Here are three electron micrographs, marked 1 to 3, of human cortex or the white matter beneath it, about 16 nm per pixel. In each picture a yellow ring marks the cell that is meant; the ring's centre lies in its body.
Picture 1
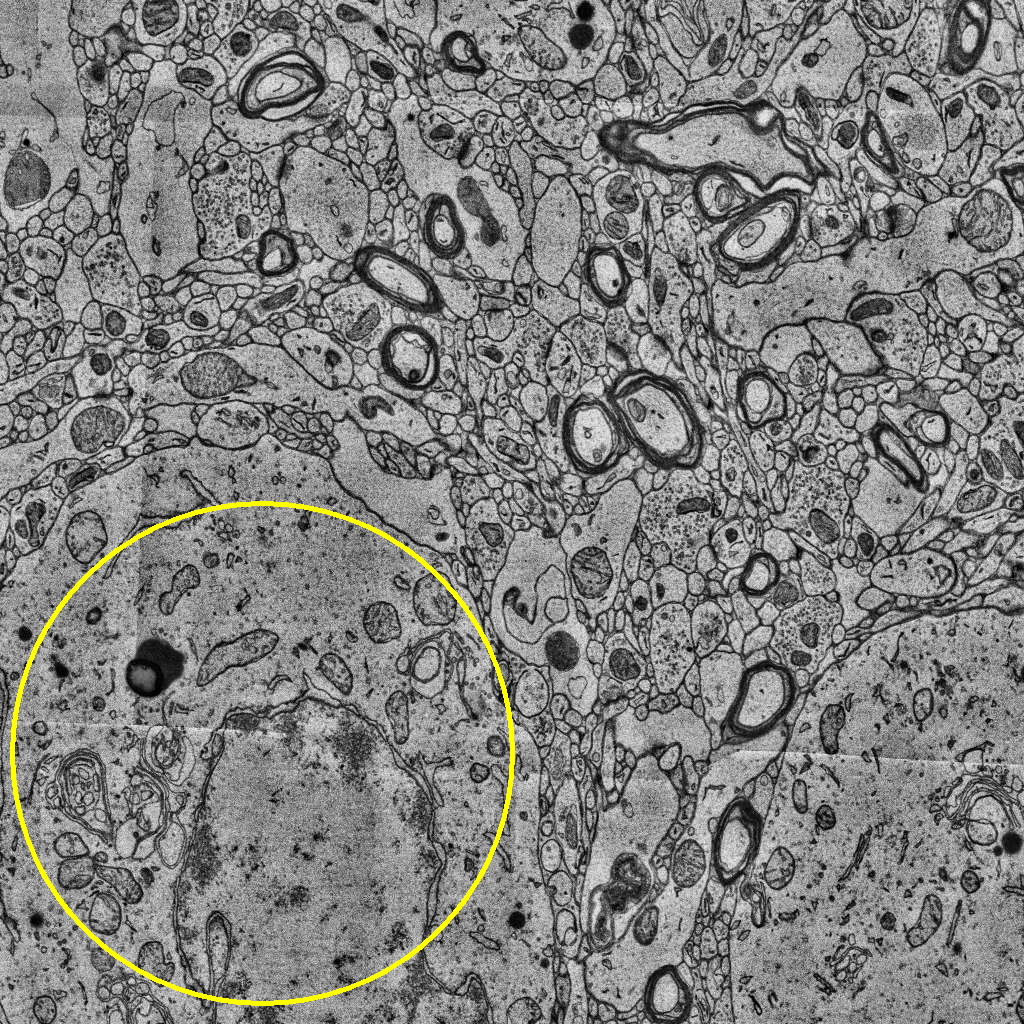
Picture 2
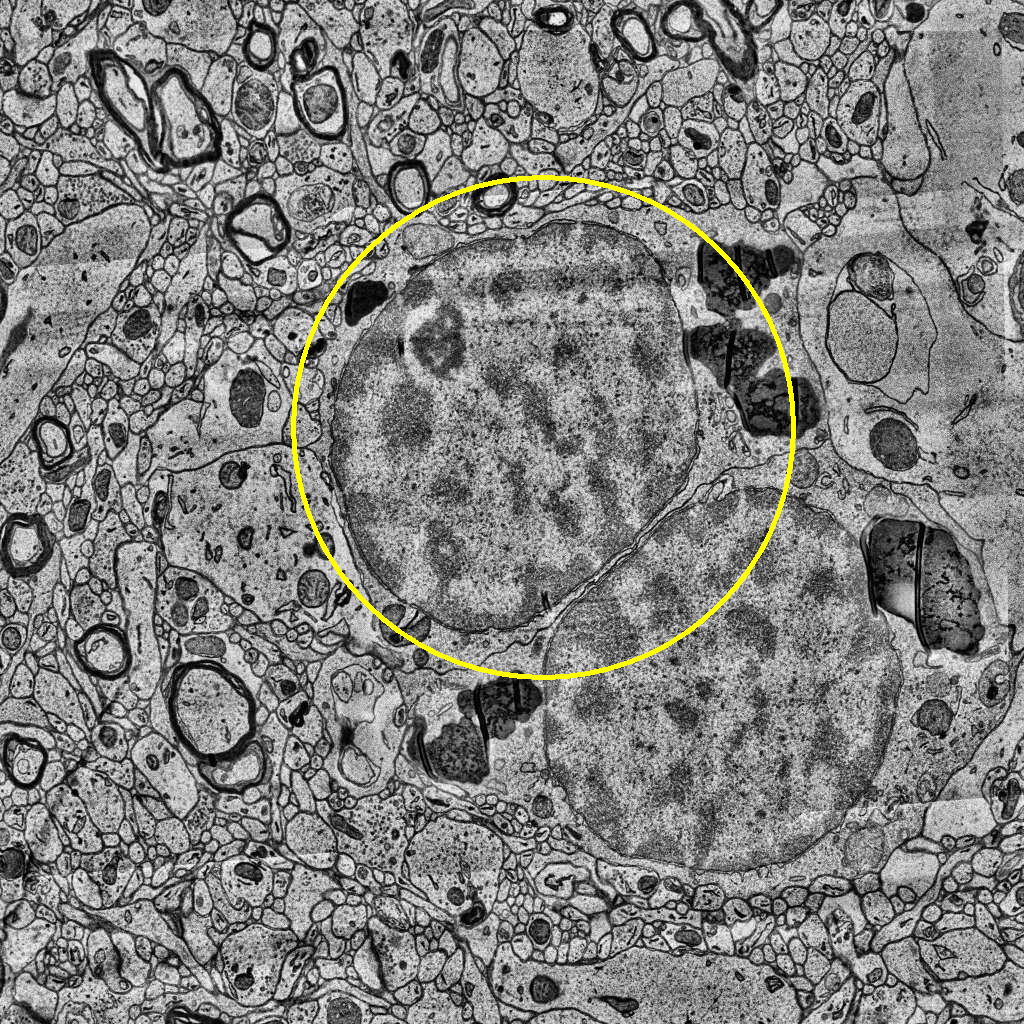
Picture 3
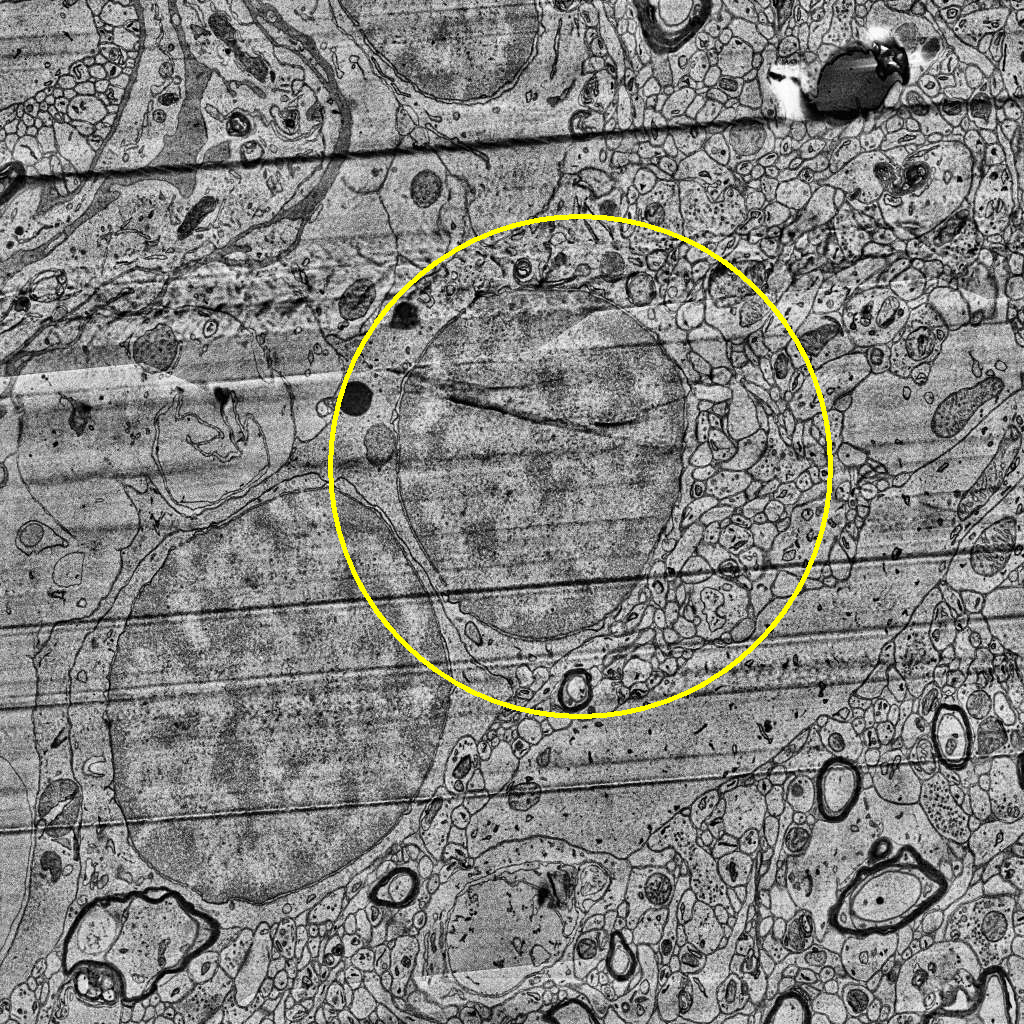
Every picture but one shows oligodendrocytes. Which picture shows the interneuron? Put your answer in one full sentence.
Picture 1 shows the interneuron.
